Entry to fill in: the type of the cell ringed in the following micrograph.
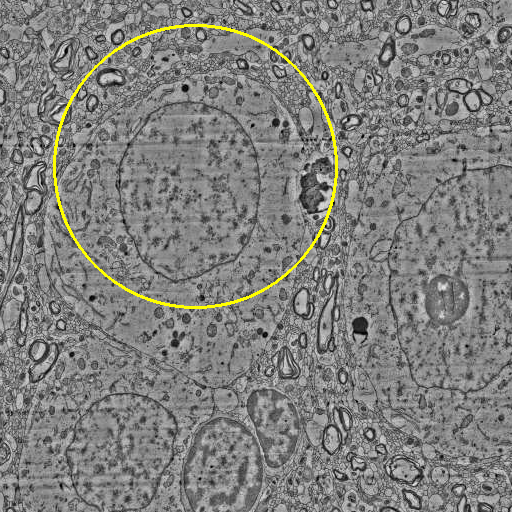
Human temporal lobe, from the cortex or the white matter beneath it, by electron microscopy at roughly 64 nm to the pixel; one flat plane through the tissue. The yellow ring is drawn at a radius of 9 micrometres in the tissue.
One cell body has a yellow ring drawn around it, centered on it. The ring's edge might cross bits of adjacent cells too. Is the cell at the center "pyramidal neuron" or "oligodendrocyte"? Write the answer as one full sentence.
This entry names a pyramidal neuron as the cell whose body lies at the ring's center.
